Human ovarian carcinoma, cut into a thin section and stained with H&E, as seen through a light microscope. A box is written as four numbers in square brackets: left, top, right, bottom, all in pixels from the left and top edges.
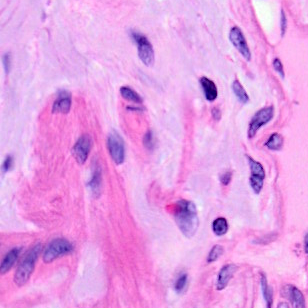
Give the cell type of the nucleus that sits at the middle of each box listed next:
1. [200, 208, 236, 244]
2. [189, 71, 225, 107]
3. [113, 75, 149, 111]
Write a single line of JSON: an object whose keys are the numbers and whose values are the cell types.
{"1": "lymphocyte", "2": "lymphocyte", "3": "smooth muscle cell"}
